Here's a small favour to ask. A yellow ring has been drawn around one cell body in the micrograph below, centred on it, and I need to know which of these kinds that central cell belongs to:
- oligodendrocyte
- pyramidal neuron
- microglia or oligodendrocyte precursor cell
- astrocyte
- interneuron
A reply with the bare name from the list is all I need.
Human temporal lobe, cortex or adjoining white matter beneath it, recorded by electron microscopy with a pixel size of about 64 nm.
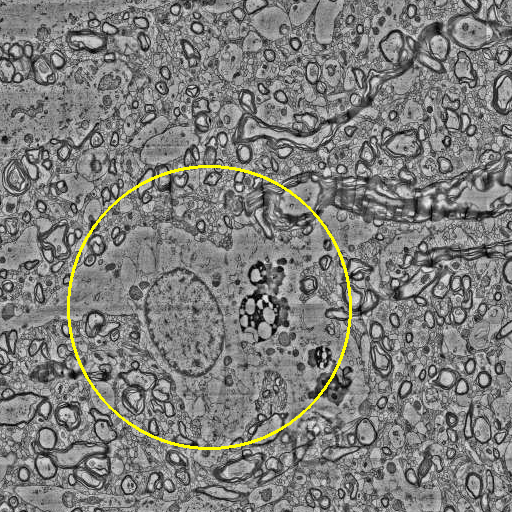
astrocyte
